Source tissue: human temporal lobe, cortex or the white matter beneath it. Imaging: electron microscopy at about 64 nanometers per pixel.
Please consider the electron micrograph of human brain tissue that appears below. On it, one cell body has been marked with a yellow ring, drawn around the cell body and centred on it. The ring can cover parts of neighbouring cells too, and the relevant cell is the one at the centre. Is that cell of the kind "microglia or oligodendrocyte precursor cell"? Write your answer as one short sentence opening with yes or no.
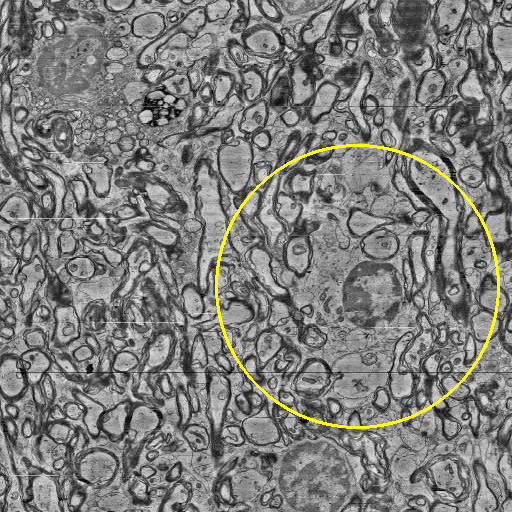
Yes, it is of that kind.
